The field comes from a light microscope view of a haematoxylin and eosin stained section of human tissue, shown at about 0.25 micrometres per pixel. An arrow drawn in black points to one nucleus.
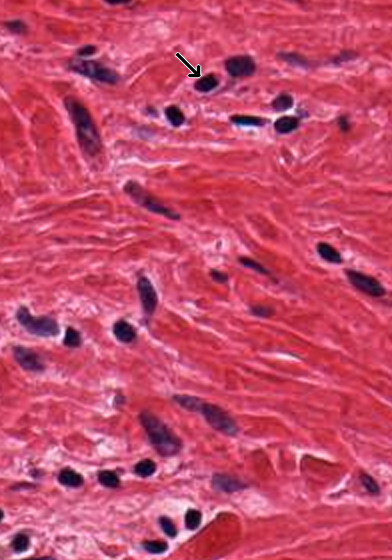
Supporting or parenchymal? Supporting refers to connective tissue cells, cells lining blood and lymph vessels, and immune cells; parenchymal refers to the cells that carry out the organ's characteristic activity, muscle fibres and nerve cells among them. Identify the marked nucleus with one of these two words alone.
supporting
